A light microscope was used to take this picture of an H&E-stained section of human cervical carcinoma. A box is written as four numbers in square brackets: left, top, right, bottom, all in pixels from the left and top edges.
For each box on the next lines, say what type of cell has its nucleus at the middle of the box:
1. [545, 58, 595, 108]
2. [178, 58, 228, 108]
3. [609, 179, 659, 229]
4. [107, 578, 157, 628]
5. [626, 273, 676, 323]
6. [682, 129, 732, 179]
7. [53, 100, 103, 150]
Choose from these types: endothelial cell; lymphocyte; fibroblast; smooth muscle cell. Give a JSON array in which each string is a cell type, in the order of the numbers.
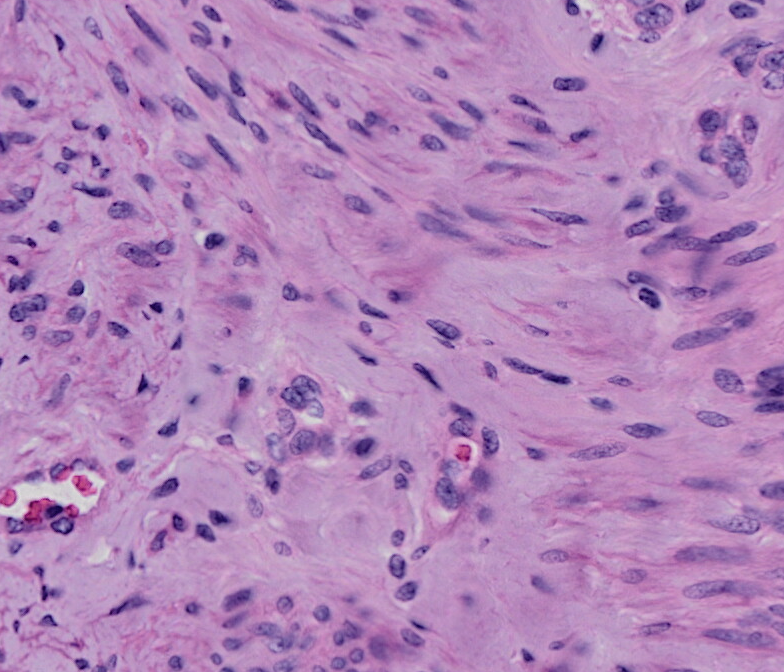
["fibroblast", "fibroblast", "fibroblast", "fibroblast", "lymphocyte", "endothelial cell", "smooth muscle cell"]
